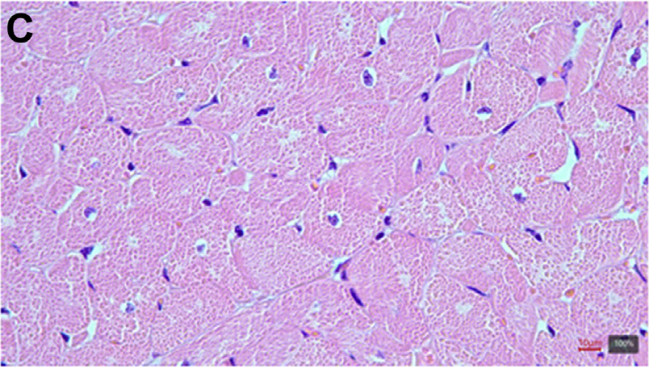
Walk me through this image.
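This is heart muscle of the myocardium cut across, made up of large polygonal cardiomyocyte profiles. The cytoplasm of the fibres stains pink and has a fine stippled, granular texture from cross-cut myofibrils. Dark purple nuclei are fairly sparse; a few lie centrally within the fibres, while others, often elongated or flattened, sit in the narrow pale interstitial spaces between fibres. Thin pale strands and clefts outline the individual fibres. Occasional small spaces between fibres contain a few red cells.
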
